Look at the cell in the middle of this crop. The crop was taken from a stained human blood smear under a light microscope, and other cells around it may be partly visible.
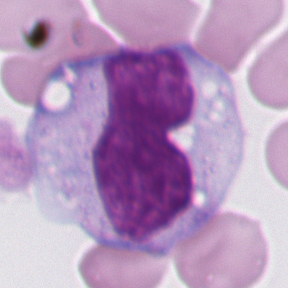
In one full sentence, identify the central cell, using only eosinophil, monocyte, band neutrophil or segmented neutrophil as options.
In the central position of this crop, the cell is a monocyte.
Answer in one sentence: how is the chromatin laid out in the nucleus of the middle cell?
The key point is fine chromatin with no coarse clumps.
